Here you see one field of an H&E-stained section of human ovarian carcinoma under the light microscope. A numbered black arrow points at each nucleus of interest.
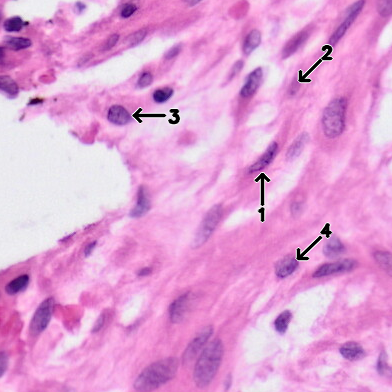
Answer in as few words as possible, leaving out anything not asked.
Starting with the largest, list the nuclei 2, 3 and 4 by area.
3, 4, 2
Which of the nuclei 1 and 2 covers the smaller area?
2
